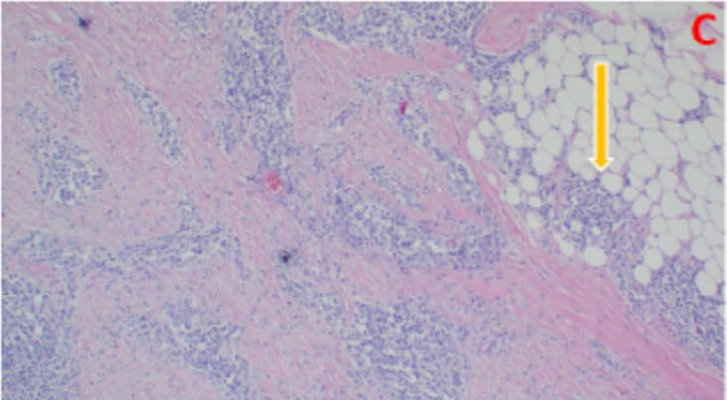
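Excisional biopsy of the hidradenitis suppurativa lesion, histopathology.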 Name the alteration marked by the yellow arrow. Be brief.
Extension of the inflammatory cells into the subcutis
